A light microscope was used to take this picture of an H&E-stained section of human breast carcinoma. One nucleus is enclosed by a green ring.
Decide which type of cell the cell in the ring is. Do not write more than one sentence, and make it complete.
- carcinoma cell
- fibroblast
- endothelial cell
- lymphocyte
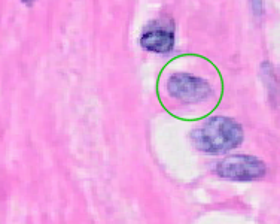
The category to which the cell in the ring belongs is that of an endothelial cell.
